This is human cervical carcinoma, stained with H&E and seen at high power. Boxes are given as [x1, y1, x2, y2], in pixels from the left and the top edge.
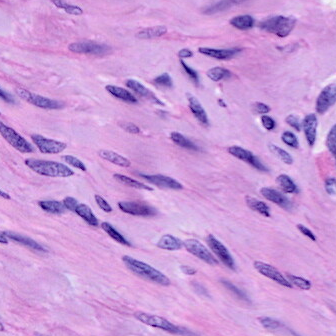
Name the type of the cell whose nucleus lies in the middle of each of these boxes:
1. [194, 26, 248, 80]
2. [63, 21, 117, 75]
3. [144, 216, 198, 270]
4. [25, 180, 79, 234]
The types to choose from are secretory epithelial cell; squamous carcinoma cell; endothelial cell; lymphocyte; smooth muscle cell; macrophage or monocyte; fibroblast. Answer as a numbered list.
1. fibroblast
2. smooth muscle cell
3. fibroblast
4. fibroblast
